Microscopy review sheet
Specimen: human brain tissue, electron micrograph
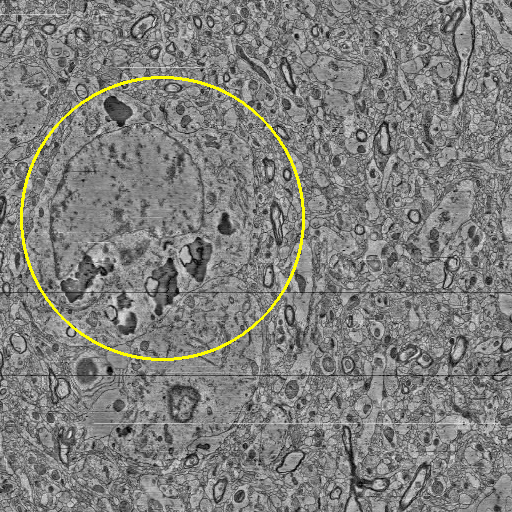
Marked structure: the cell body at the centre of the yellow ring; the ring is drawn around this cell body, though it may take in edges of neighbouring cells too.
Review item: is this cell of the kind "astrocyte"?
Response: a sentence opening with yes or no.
No, this cell is of another kind.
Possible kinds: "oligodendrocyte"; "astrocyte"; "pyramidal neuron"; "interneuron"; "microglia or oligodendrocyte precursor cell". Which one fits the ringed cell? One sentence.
The cell shown in the ring is an interneuron.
